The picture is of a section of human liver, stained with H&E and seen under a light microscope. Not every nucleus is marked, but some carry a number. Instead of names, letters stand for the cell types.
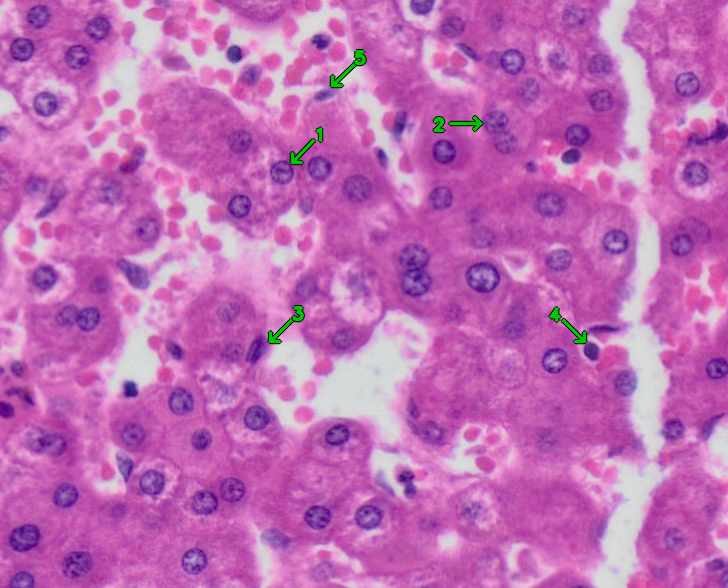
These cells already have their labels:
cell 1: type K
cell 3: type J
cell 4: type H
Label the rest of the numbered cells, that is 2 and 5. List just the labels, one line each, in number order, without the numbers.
type K
type J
